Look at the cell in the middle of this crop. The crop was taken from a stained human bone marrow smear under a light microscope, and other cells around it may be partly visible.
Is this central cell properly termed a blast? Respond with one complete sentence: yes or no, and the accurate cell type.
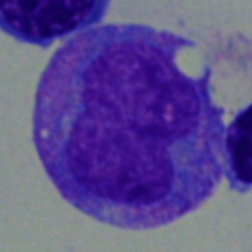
No, the cell in the middle of the field is a monocyte, not a blast as suggested.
